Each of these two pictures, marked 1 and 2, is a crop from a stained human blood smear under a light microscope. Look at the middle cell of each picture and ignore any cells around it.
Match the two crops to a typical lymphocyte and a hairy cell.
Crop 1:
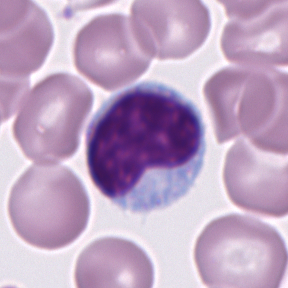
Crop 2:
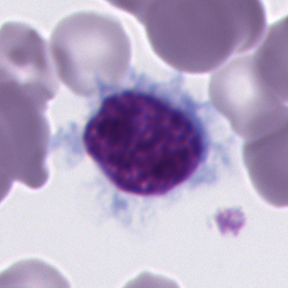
1: typical lymphocyte
2: hairy cell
